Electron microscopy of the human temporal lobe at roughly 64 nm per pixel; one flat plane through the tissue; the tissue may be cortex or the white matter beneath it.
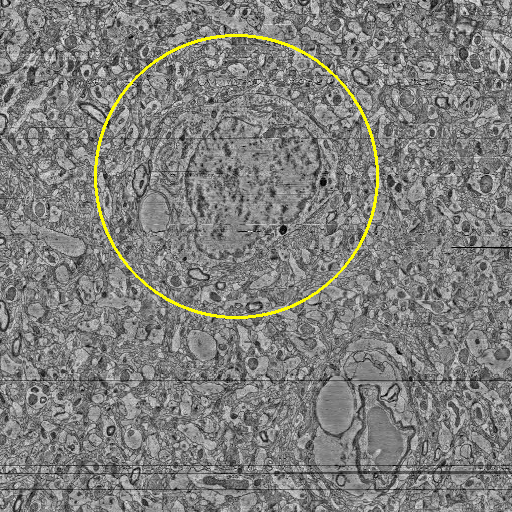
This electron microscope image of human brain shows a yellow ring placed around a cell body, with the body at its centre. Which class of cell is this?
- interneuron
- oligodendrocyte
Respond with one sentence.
The cell body at the ring's centre is an interneuron.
